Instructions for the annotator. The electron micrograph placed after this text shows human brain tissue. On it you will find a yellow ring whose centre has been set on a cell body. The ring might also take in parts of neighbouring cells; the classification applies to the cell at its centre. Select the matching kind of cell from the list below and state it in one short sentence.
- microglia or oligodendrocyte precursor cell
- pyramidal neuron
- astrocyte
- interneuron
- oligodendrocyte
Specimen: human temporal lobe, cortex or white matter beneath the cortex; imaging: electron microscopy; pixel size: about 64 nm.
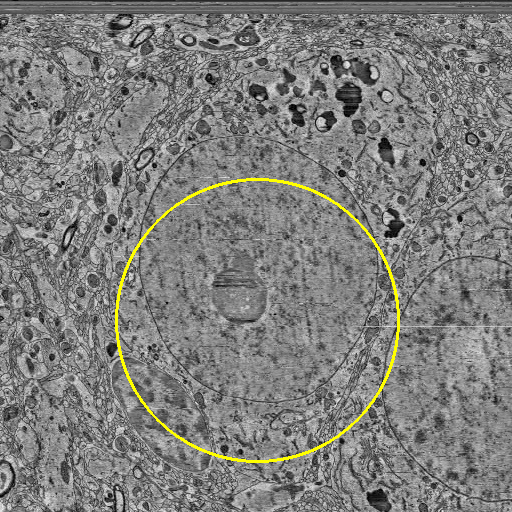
The ring is drawn on the cell body of a pyramidal neuron.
